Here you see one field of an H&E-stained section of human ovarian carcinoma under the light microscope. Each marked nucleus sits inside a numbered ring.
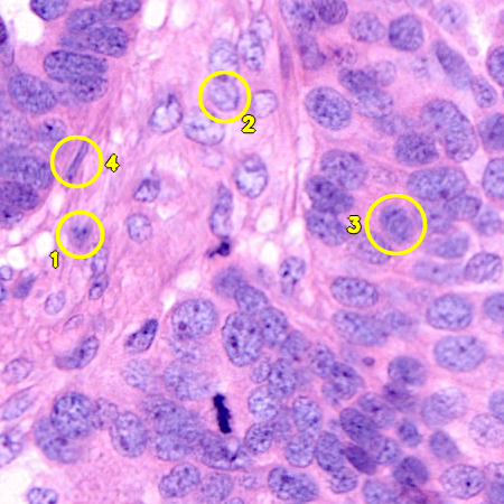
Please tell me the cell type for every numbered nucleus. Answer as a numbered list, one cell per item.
1. fibroblast
2. fibroblast
3. carcinoma cell
4. fibroblast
